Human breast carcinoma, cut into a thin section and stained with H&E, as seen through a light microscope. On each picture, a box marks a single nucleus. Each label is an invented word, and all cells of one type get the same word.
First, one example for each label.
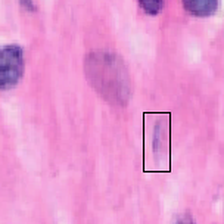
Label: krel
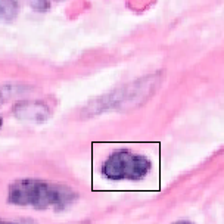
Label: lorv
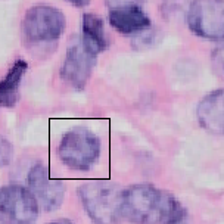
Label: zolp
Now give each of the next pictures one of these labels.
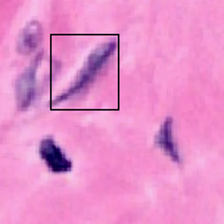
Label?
krel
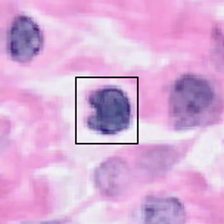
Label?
lorv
